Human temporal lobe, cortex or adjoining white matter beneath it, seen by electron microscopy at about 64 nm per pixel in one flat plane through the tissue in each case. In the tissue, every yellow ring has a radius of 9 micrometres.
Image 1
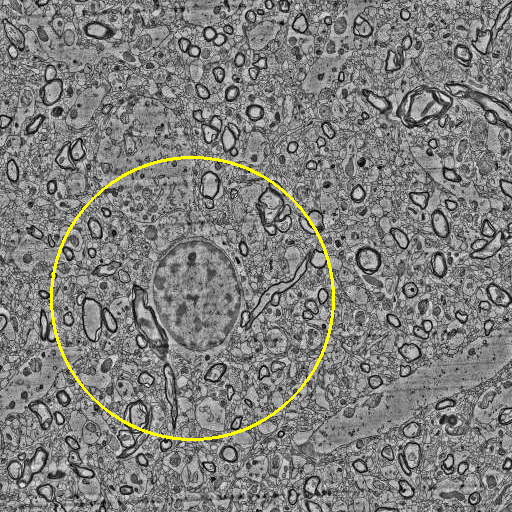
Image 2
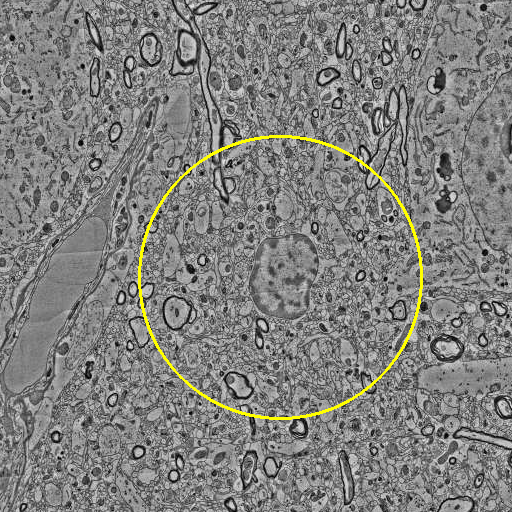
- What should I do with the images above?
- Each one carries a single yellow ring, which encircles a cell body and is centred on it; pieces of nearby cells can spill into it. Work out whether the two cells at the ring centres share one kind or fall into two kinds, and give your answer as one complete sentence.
The ring-centre cells of Image 1 and Image 2 fall into two kinds.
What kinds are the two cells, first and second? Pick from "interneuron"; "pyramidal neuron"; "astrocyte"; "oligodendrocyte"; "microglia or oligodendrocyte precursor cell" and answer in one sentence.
The second picture holds a microglial cell or oligodendrocyte precursor cell in its ring, and the first holds an oligodendrocyte.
